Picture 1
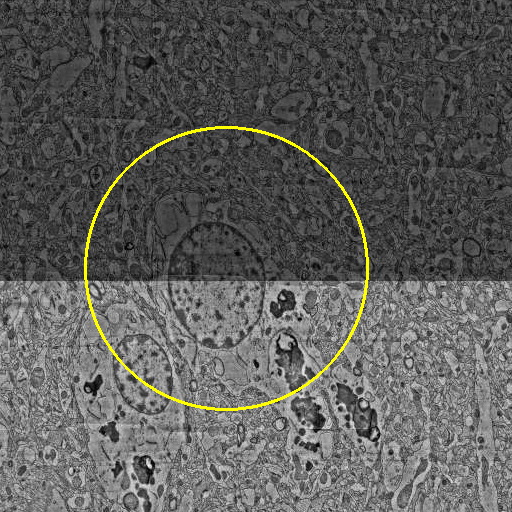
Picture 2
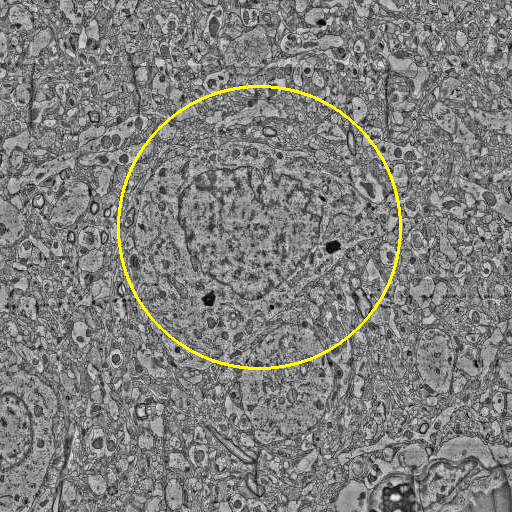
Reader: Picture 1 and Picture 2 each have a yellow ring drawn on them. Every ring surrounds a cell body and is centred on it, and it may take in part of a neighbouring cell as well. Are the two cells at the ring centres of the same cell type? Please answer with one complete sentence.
No, the cells are of two cell types.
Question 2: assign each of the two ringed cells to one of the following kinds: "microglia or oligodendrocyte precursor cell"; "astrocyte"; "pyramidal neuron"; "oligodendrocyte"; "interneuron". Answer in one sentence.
The two cells are an astrocyte in the first picture and an interneuron in the second.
